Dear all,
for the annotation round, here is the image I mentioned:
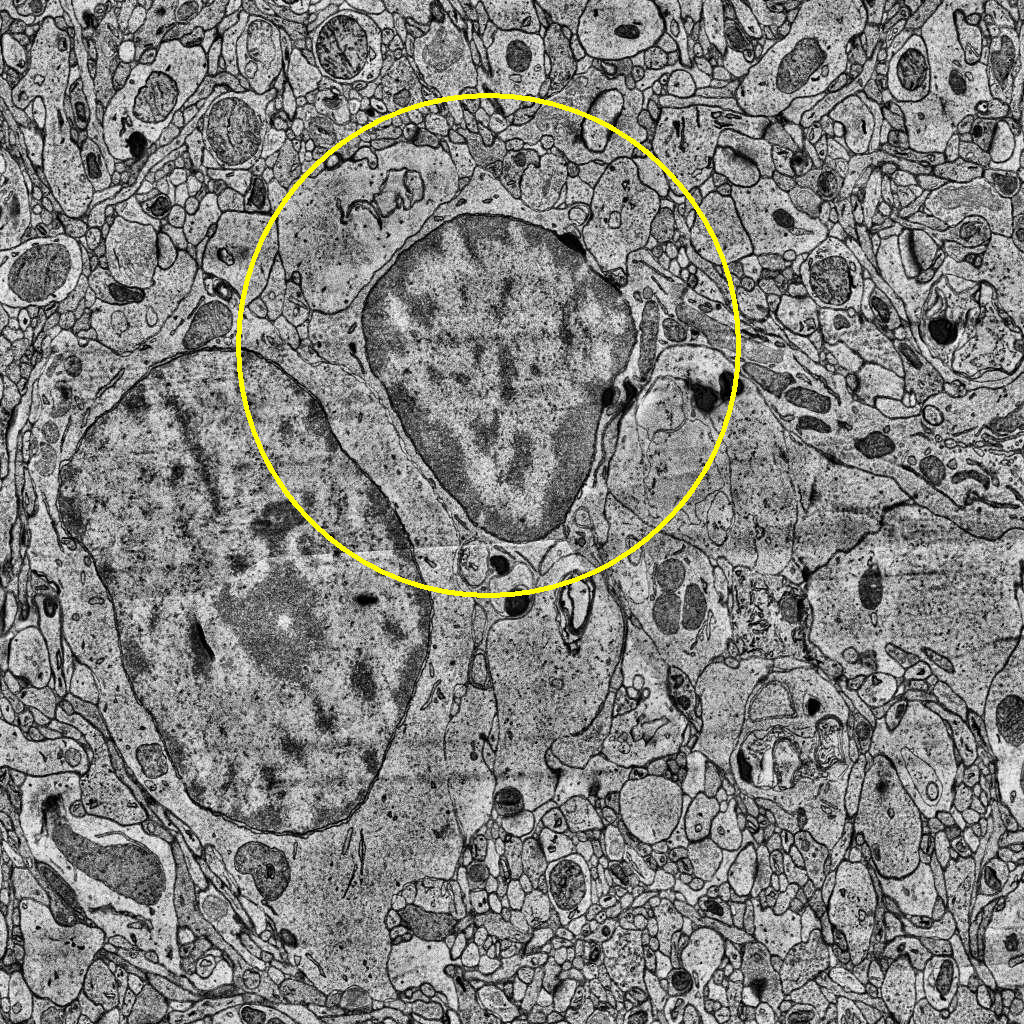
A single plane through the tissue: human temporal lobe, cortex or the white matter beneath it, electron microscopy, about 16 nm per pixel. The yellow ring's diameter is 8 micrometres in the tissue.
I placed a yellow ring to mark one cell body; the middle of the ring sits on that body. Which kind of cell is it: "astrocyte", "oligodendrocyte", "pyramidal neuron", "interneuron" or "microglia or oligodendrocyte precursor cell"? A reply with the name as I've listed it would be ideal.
microglia or oligodendrocyte precursor cell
